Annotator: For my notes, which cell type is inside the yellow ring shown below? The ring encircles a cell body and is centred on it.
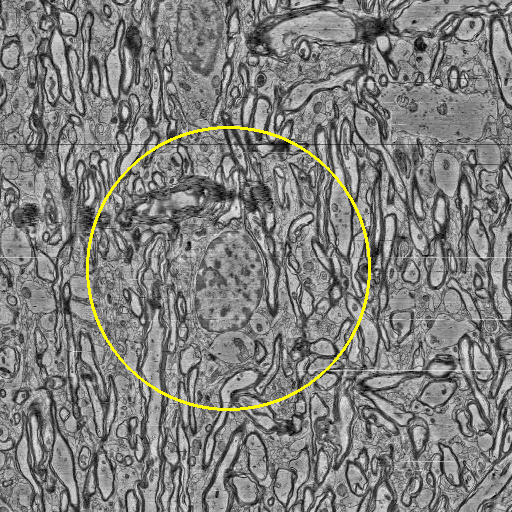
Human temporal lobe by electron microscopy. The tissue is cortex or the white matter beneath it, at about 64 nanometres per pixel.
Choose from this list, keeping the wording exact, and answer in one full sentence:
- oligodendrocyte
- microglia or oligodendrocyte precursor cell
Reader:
At the centre of the yellow ring there is a microglial cell or oligodendrocyte precursor cell, as shown in the picture.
